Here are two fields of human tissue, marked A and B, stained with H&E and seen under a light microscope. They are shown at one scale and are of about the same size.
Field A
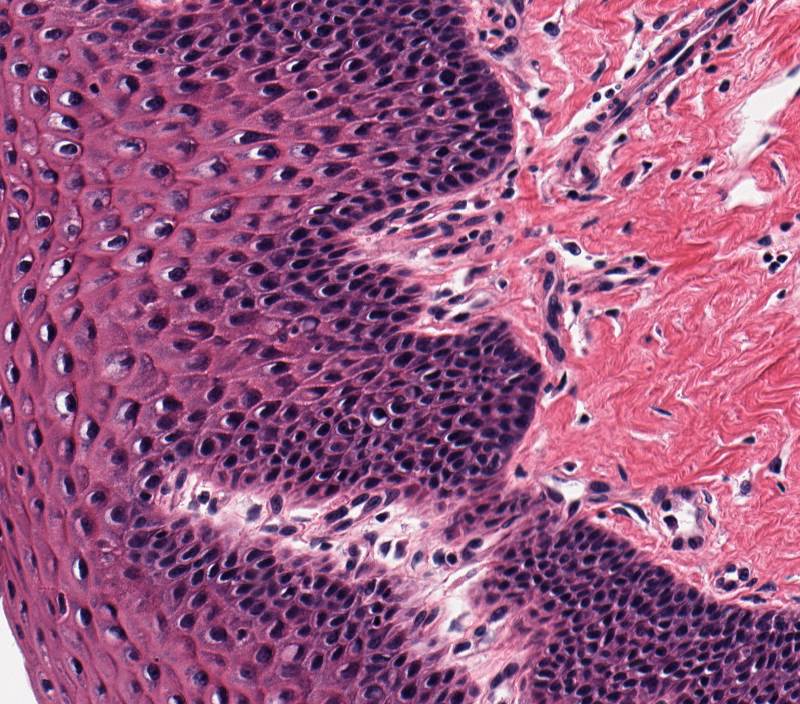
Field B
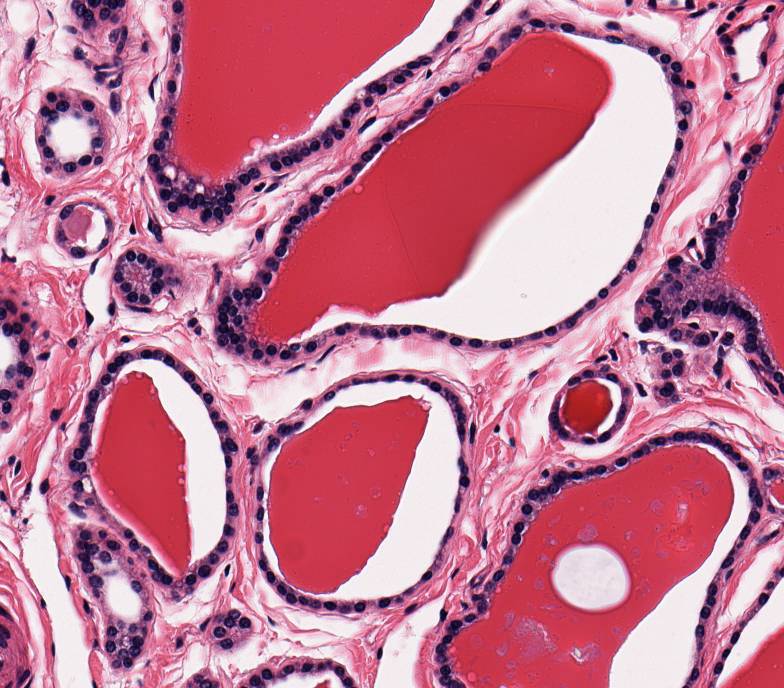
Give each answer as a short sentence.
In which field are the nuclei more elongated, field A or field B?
On the whole the nuclei of field B are more drawn out than those of field A.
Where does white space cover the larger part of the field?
It is field B in which white space covers the larger part.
